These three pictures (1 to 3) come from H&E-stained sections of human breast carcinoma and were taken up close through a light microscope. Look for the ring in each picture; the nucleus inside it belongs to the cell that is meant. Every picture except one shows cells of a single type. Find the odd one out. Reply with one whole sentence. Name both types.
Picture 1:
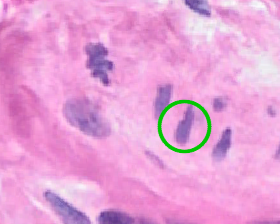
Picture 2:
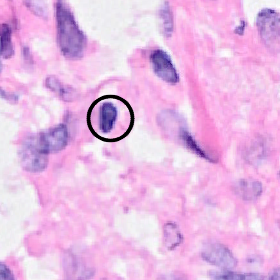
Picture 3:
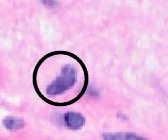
Picture 1 is the odd one out: it shows an endothelial cell, while the others show lymphocytes.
